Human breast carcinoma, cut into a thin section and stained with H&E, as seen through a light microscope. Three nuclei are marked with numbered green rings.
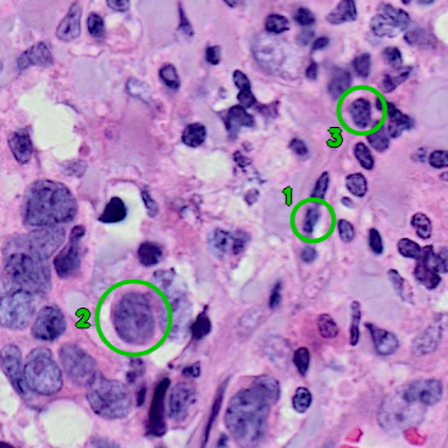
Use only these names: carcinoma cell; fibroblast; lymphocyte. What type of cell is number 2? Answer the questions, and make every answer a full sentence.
The mark numbered 2 indicates the nucleus of a carcinoma cell.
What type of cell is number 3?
To a lymphocyte belongs the nucleus marked 3.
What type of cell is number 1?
Cell 1 in the field of view is a lymphocyte.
